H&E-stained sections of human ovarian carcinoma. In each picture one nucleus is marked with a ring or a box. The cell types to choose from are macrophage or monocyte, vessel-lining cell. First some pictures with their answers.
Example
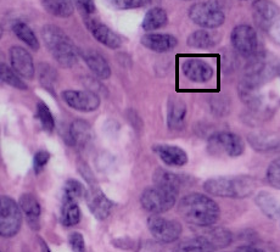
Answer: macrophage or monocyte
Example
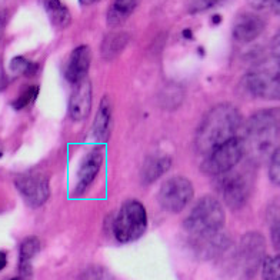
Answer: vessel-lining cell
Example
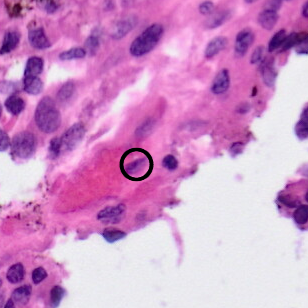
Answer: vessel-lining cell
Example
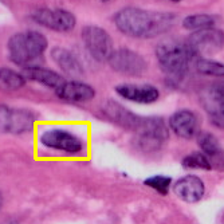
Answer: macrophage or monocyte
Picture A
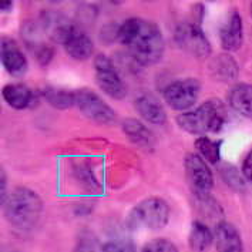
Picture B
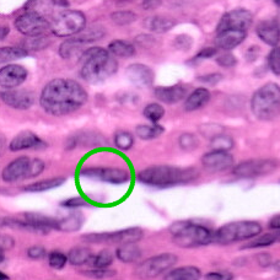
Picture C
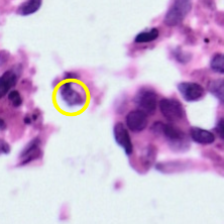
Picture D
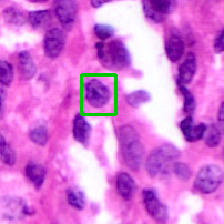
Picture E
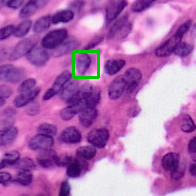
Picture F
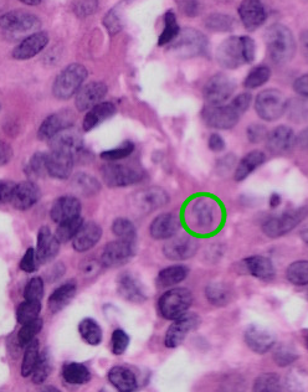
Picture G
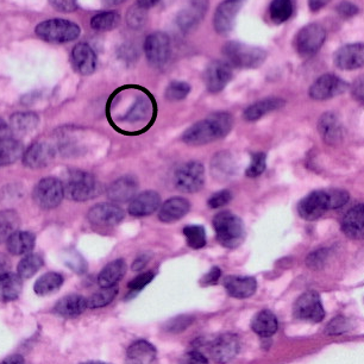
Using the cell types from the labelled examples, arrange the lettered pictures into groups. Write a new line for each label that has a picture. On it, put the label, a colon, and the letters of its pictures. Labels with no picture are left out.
macrophage or monocyte: C, D, E
vessel-lining cell: A, B, F, G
